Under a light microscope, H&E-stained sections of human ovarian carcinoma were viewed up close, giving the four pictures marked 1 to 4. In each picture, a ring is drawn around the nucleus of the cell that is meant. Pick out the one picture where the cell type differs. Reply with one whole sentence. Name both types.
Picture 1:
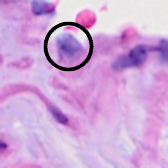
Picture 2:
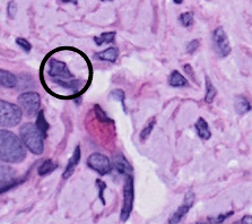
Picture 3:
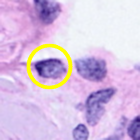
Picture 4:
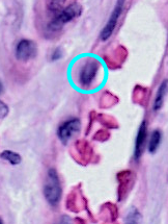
Picture 2 differs, because its cell is a fibroblast and the rest are endothelial cells.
